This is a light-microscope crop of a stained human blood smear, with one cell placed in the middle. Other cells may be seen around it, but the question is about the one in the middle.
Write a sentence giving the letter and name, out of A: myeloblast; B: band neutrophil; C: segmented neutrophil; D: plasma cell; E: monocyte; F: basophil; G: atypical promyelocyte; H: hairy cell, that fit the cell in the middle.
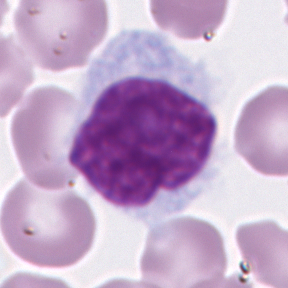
Option H is accurate; the centrally placed cell is a hairy cell.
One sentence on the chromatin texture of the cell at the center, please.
The chromatin pattern is fine and free of coarse clumps.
